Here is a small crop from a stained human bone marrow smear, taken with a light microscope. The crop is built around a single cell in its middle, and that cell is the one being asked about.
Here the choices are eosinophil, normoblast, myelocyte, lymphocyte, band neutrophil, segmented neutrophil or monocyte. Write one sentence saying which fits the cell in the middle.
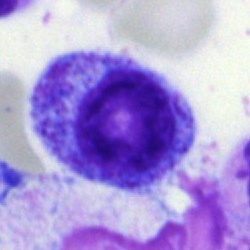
For this crop, the cell in the middle is a myelocyte.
